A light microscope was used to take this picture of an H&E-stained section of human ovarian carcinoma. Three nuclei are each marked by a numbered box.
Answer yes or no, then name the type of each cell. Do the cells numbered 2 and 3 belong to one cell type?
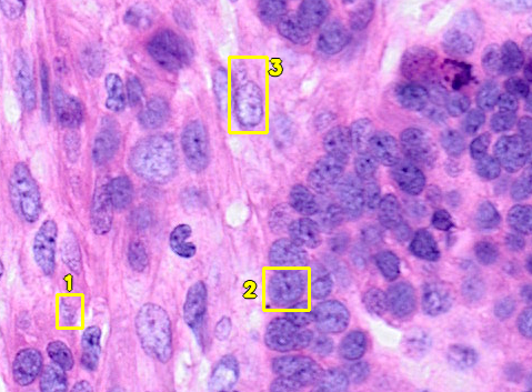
No, cell 2 is a carcinoma cell, and cell 3, for its part, is a fibroblast.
